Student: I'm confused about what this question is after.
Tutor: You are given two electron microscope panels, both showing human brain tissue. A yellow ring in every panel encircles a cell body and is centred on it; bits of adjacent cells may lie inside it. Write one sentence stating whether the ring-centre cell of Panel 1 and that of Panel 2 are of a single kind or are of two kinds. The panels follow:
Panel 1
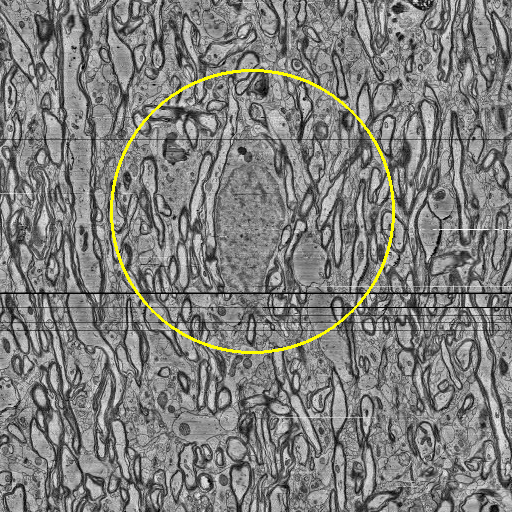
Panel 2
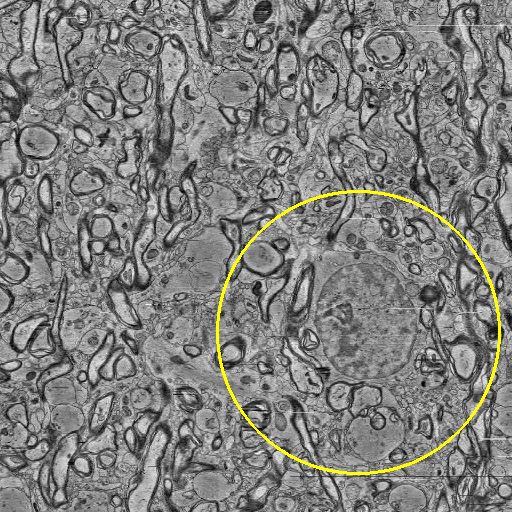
Here, the Panel 1 ring-centre cell and the Panel 2 ring-centre cell are of a single kind.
